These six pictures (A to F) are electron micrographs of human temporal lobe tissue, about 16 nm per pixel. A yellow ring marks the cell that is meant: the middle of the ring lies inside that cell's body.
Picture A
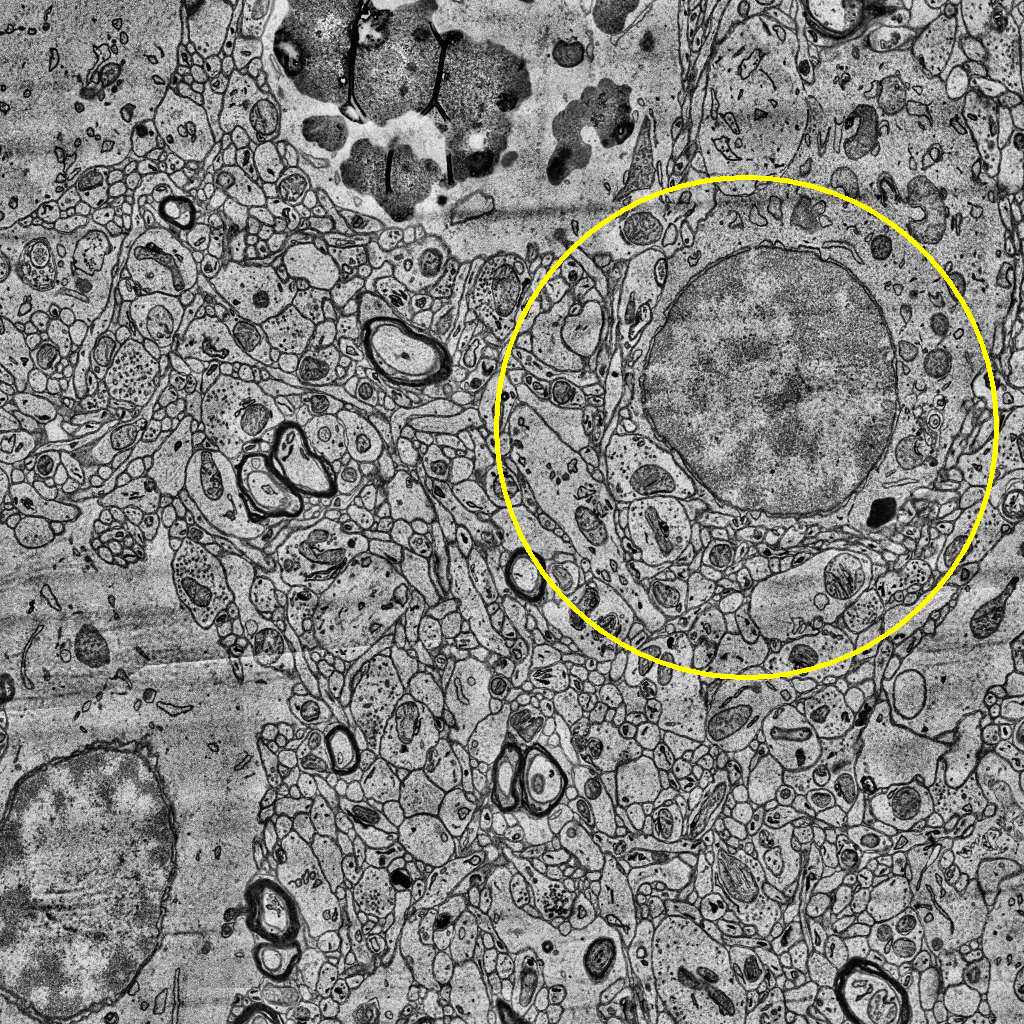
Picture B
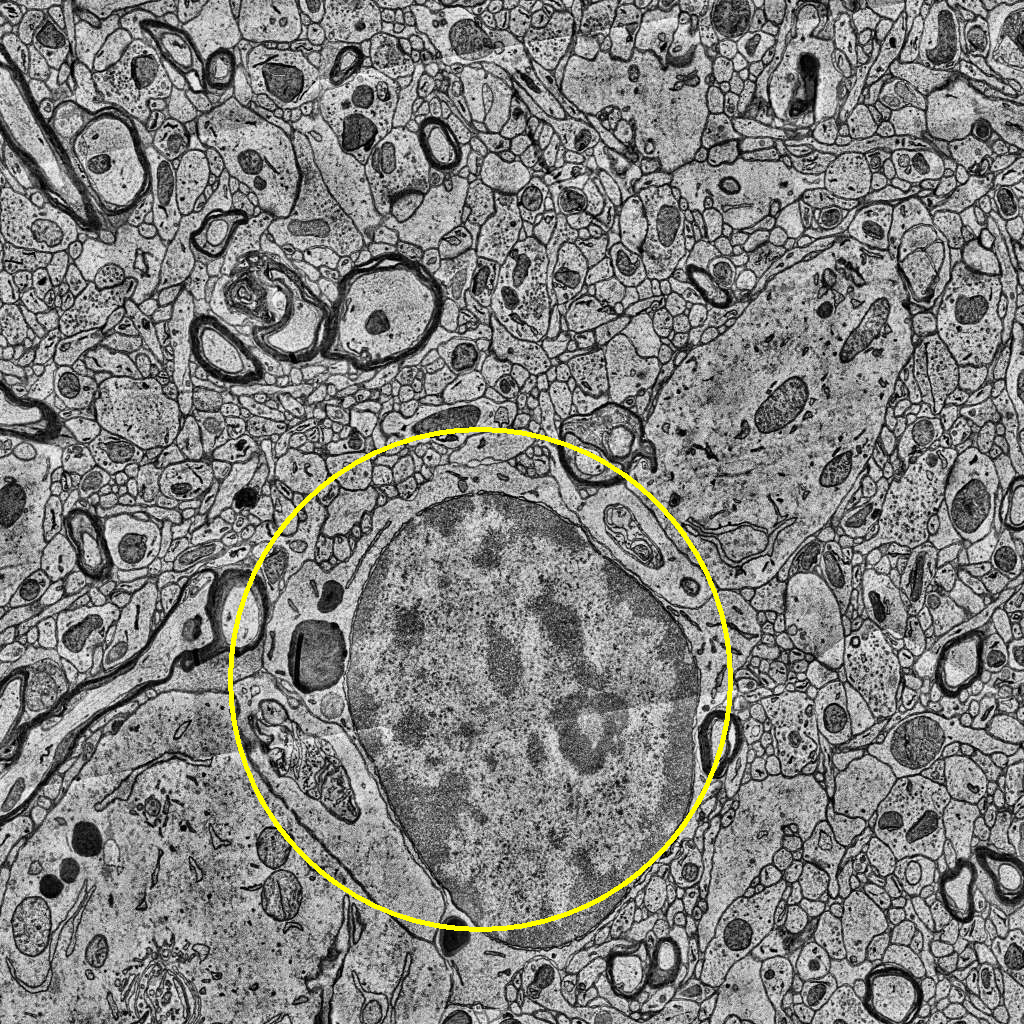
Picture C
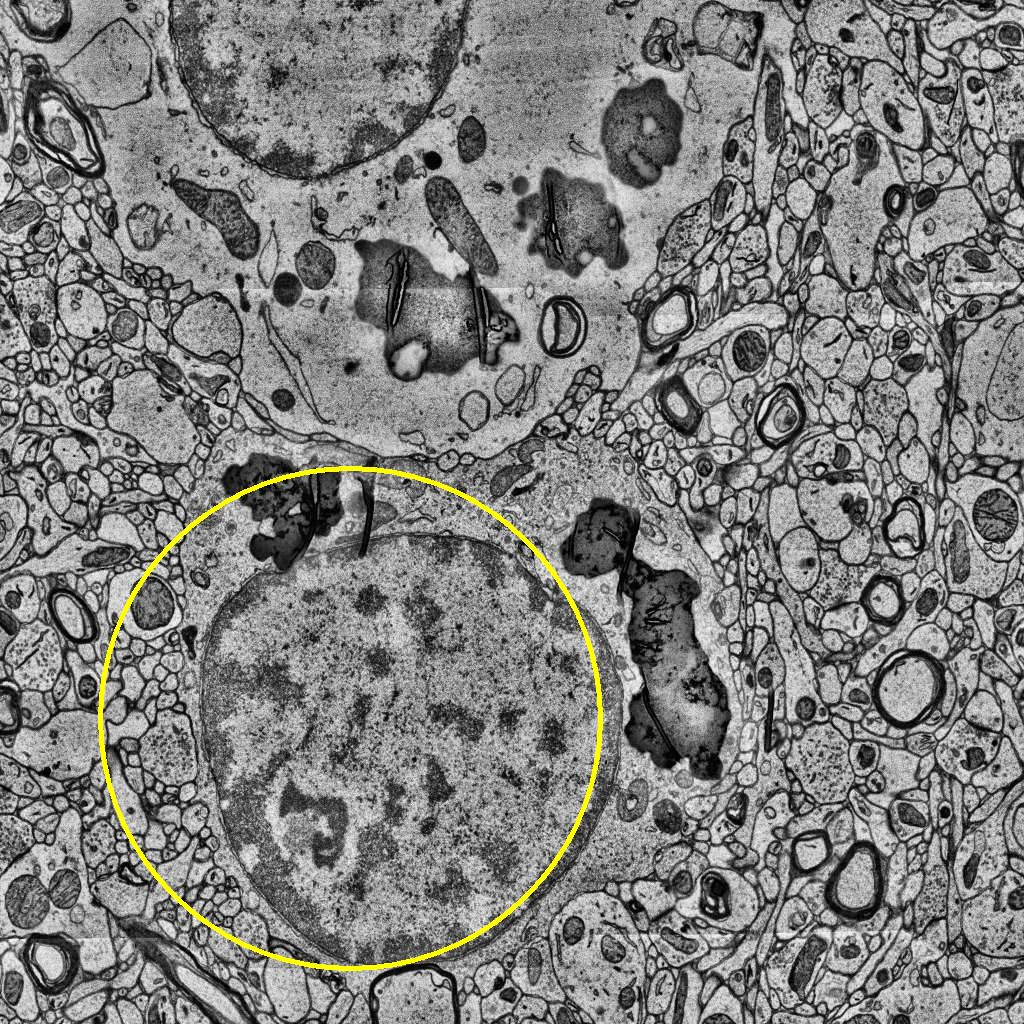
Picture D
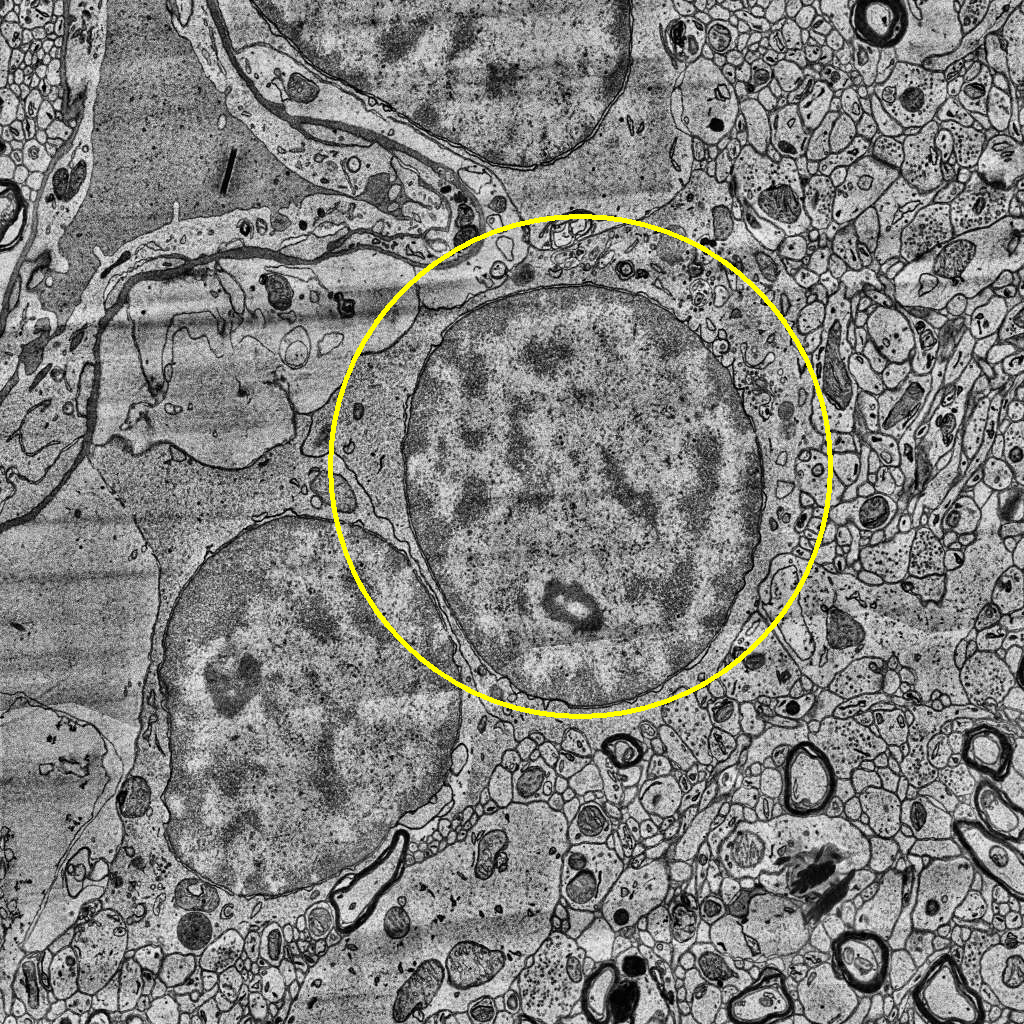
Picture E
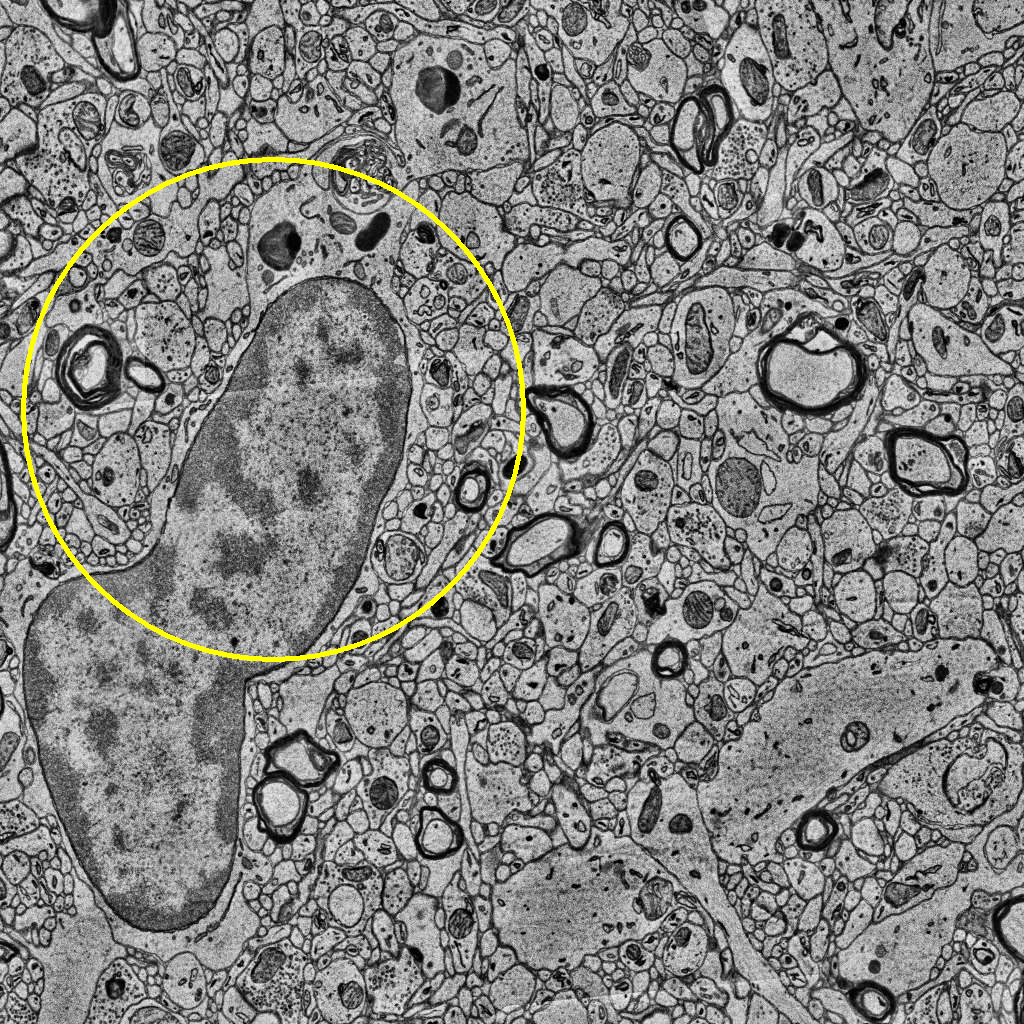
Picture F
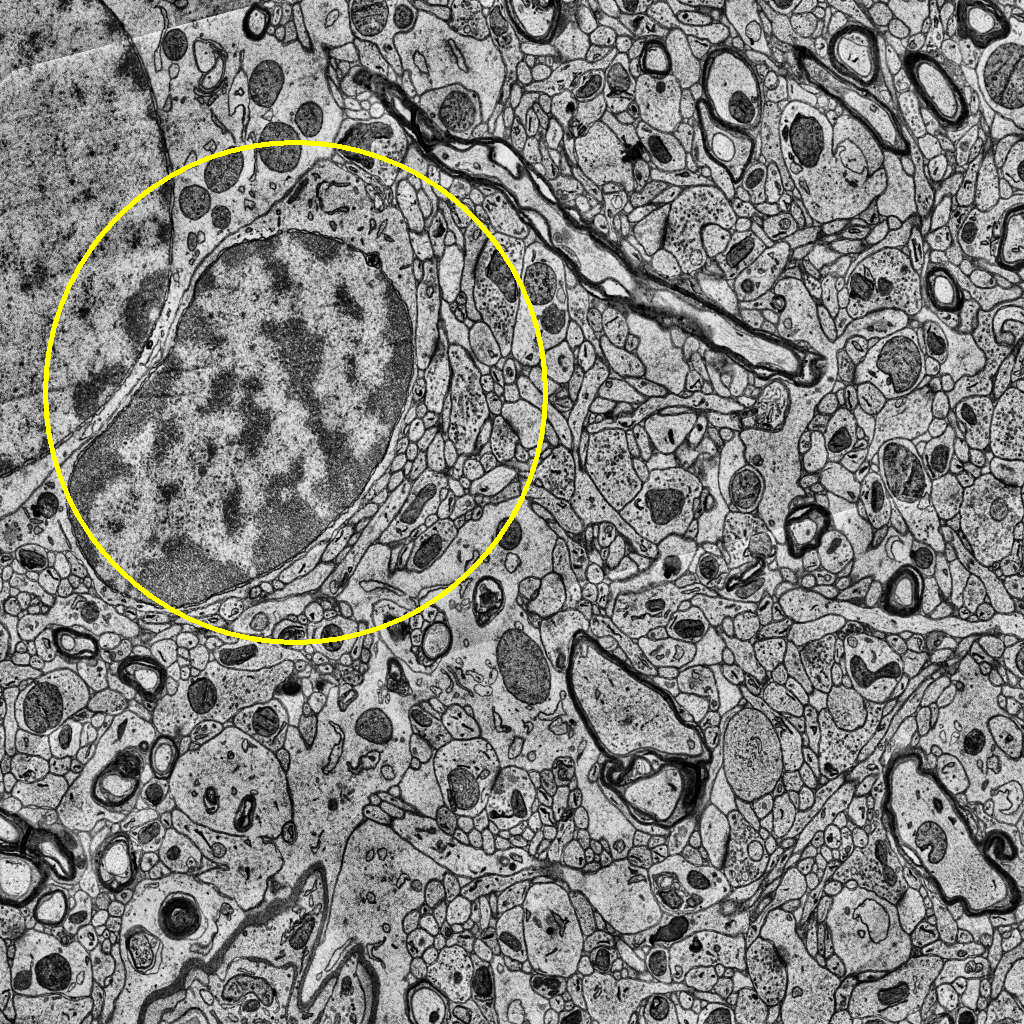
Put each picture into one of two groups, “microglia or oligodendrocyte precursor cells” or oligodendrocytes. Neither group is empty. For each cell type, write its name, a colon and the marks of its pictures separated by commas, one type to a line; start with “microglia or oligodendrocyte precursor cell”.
microglia or oligodendrocyte precursor cell: B, E, F
oligodendrocyte: A, C, D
